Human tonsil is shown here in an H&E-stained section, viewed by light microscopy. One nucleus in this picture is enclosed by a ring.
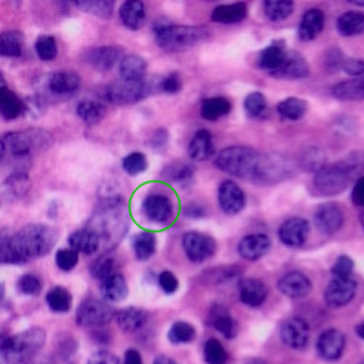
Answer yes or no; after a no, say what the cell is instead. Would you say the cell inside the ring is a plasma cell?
Yes.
